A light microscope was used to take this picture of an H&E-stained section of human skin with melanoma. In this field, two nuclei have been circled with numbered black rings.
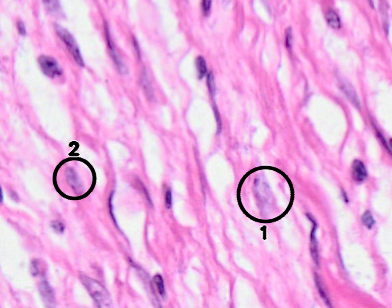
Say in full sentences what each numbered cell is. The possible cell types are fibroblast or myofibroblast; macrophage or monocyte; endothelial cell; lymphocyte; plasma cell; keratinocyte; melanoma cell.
Cell 1 is a fibroblast or myofibroblast. Cell 2 is a macrophage or monocyte.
